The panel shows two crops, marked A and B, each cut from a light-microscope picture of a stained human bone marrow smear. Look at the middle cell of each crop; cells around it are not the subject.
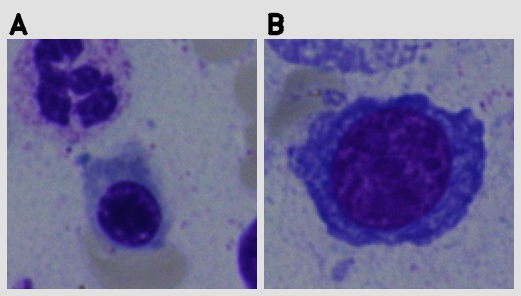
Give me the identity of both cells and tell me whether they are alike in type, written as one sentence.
Yes, both crops show erythroblasts, and the two match.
